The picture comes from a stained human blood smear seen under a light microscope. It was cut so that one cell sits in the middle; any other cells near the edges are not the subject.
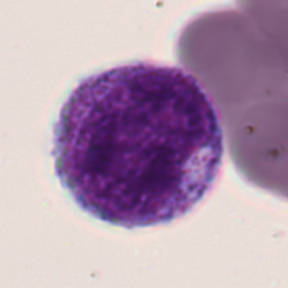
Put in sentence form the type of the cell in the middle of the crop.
The target cell in the middle of the crop is a promyelocyte.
